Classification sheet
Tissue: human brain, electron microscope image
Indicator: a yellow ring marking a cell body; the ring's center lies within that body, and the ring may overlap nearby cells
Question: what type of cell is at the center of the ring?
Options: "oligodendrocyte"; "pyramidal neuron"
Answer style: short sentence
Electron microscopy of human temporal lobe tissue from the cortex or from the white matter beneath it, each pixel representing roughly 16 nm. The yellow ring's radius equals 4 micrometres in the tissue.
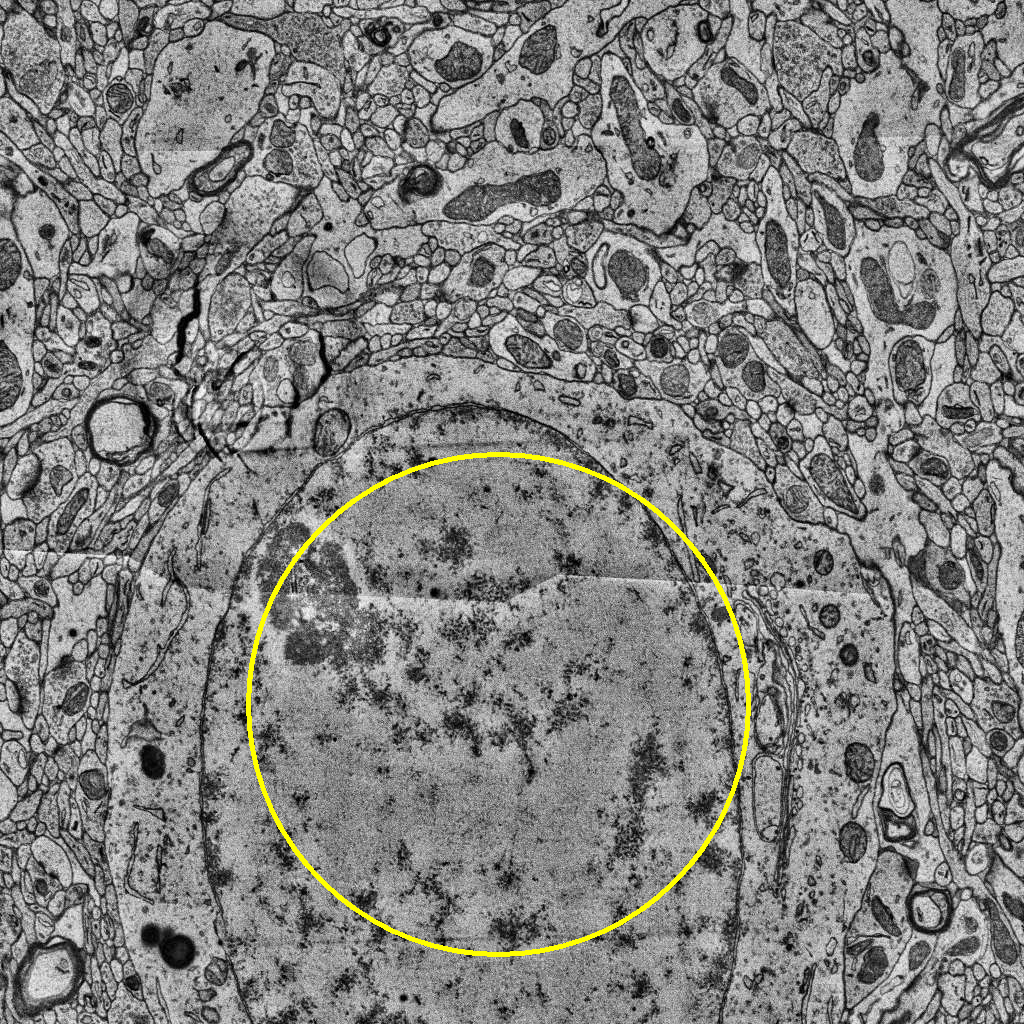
At the ring's center is a pyramidal neuron.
